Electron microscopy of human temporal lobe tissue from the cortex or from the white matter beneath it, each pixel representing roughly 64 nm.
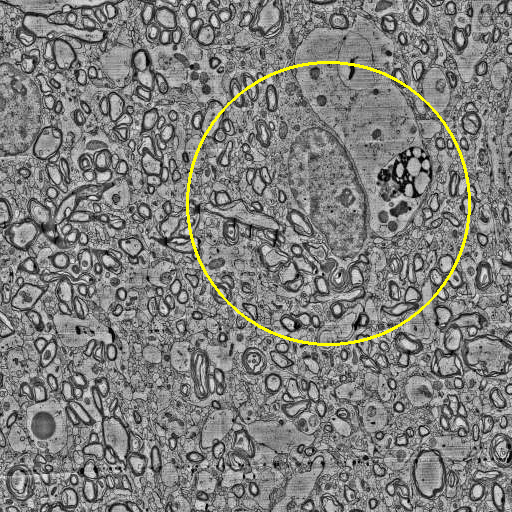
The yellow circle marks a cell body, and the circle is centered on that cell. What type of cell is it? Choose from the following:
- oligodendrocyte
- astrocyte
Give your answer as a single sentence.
This cell body belongs to an oligodendrocyte.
